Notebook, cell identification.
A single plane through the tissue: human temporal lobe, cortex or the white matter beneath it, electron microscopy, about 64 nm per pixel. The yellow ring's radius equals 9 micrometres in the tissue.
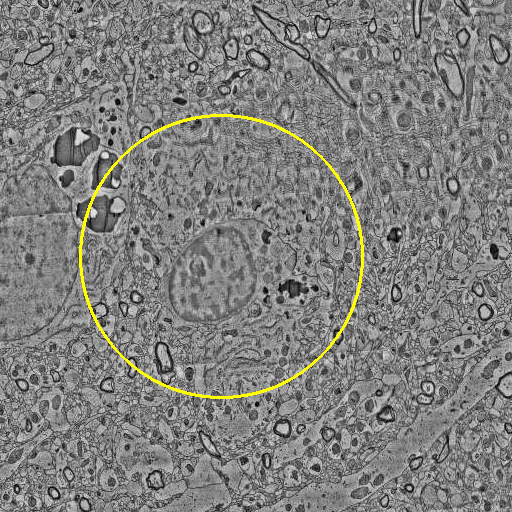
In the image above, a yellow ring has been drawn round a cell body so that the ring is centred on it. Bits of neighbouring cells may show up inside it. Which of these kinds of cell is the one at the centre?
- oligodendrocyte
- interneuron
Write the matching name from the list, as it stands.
oligodendrocyte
